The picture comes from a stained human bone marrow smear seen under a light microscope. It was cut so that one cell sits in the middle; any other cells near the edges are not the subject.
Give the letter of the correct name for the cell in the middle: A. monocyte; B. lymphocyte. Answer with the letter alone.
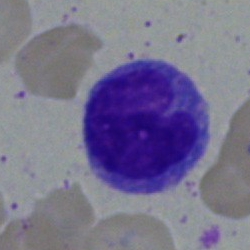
A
